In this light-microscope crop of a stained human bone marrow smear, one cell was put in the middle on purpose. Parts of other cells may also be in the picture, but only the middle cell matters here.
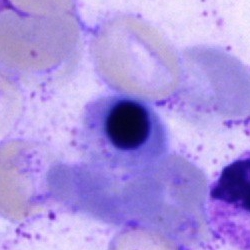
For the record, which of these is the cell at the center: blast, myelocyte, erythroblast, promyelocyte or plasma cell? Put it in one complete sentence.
Here the cell in the middle is an erythroblast.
